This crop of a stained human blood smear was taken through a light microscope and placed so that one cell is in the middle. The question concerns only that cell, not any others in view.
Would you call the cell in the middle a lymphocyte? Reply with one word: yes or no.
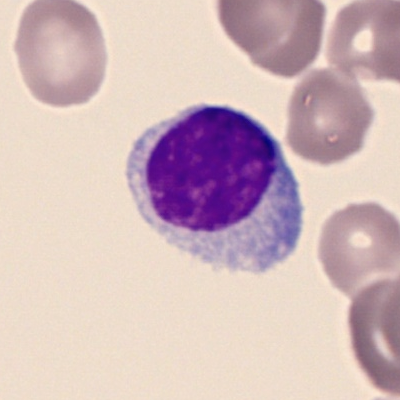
yes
